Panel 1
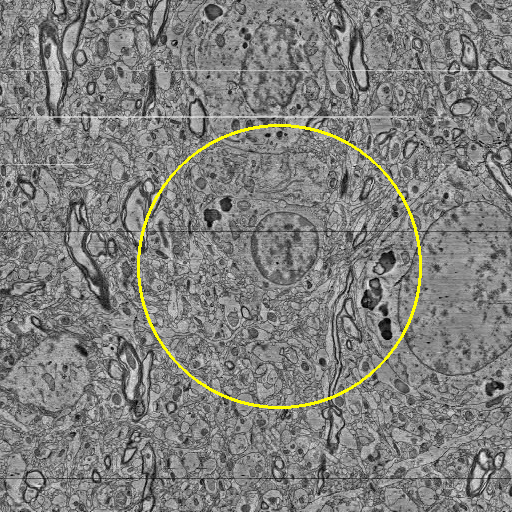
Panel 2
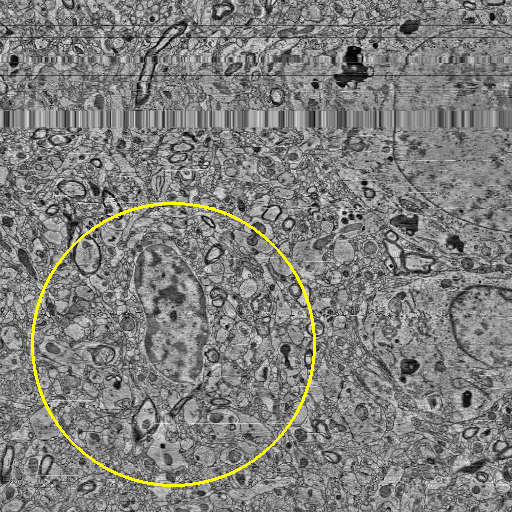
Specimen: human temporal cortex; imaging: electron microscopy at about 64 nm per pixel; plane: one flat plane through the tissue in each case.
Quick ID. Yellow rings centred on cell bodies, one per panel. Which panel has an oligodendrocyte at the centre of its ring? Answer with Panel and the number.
Panel 1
